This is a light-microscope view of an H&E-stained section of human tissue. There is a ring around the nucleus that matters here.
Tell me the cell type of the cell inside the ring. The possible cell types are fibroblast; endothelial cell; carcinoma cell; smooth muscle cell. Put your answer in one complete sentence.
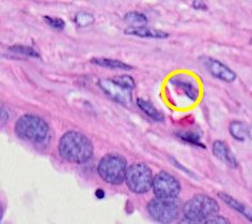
In cell-type terms, the cell inside the ring is an endothelial cell.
